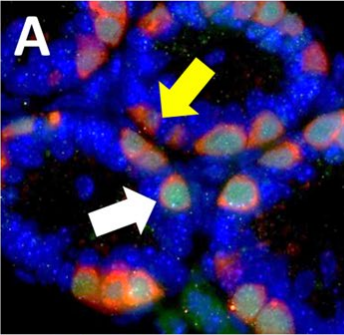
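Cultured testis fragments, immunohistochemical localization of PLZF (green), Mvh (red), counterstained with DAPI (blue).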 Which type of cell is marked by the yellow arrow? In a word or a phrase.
Germ cells.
